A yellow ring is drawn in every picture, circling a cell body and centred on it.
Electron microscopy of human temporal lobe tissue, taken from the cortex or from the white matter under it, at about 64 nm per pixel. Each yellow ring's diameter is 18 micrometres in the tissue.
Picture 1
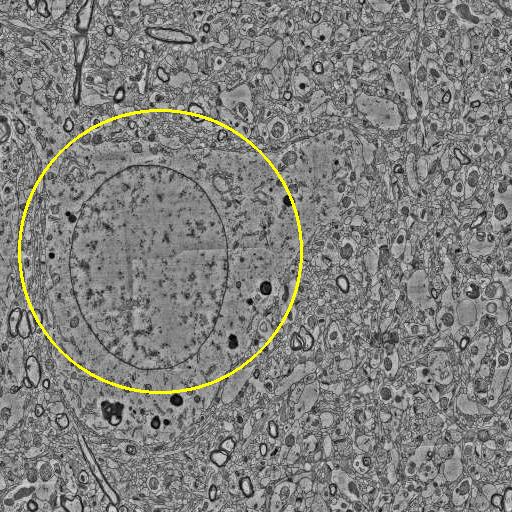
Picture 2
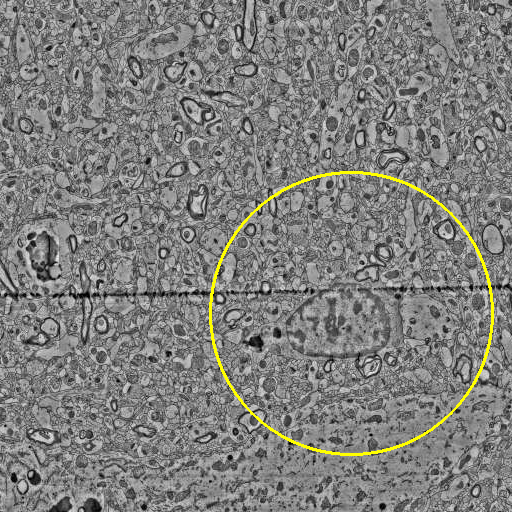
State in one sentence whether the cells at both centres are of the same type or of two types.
The cells at the two ring centres, one per picture, are of two types.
